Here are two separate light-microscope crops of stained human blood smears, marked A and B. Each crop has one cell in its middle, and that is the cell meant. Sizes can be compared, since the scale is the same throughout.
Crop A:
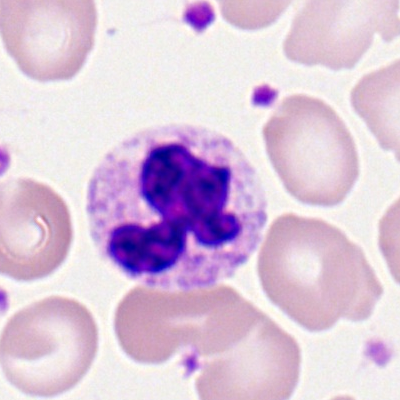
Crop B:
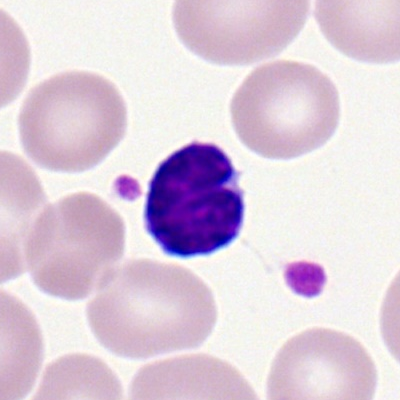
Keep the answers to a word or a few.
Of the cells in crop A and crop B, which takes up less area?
B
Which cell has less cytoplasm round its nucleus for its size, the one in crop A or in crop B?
B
